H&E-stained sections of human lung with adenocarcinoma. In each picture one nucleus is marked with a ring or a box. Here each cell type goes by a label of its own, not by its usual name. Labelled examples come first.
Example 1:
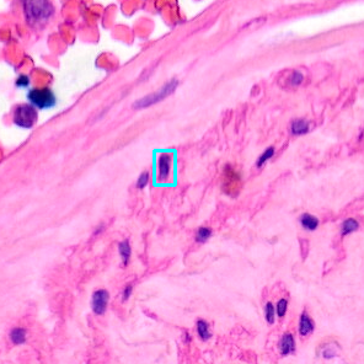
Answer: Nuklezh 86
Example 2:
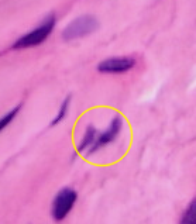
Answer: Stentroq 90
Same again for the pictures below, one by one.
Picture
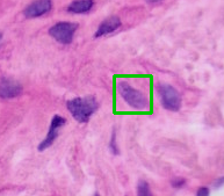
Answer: Nuklezh 86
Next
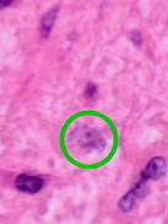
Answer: Stentroq 90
